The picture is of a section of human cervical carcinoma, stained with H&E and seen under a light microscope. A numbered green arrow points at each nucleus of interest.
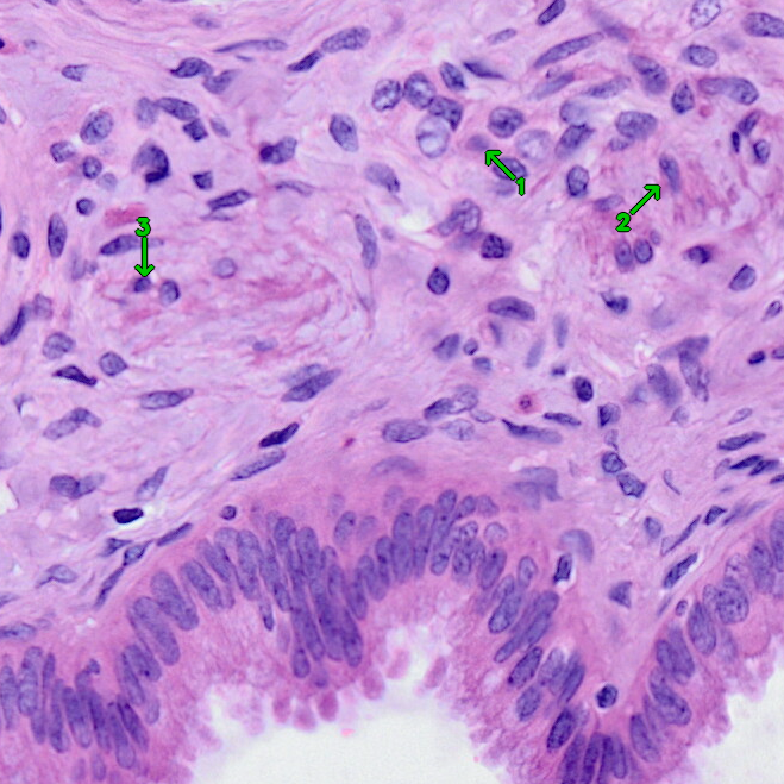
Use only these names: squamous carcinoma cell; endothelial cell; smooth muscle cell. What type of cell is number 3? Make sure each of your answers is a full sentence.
Belonging to a smooth muscle cell is the nucleus that carries the number 3.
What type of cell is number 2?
In this section, the cell numbered 2 is a smooth muscle cell.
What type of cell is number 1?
The cell pointed out as number 1 is an endothelial cell.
